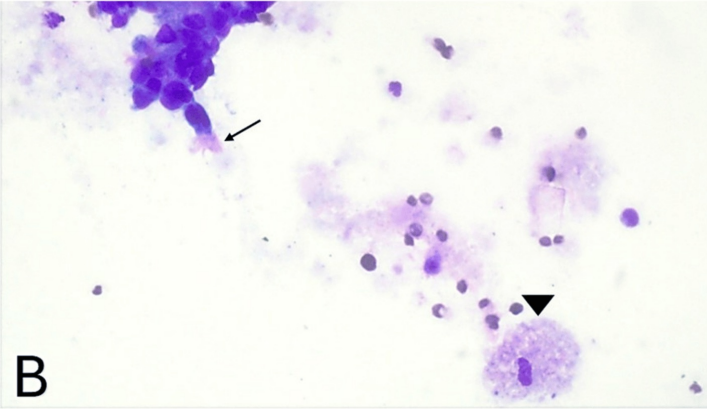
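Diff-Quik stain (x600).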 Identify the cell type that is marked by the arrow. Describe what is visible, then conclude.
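The arrow points to an elongated cell at the edge of a dark purple cluster. A pale pink fringe lies at the tip of the cell the arrow marks. The cells in the cluster are crowded with dark, round to oval nuclei.
Answer: ciliated columnar epithelium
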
